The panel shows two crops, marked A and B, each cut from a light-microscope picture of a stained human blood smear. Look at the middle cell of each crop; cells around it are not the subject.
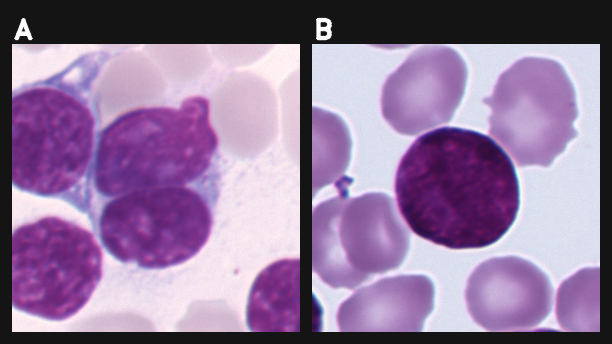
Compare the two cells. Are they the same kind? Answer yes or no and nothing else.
yes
